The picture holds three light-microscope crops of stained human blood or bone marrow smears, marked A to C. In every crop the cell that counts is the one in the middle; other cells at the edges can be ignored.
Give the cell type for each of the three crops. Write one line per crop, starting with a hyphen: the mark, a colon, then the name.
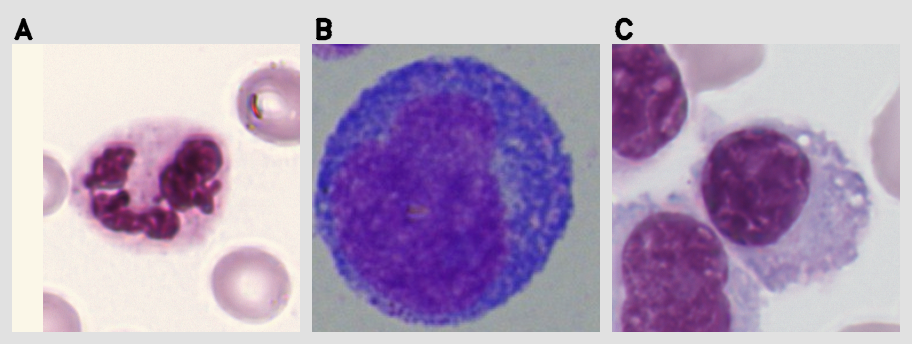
- A: segmented neutrophil
- B: promyelocyte
- C: plasma cell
